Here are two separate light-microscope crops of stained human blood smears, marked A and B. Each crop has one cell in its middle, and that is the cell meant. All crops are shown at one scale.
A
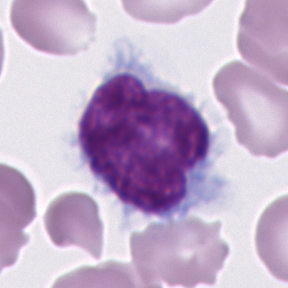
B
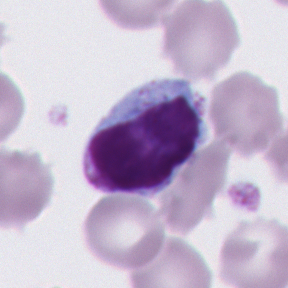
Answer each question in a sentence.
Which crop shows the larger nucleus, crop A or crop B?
Larger is the nucleus in crop A, at roughly 2 times the area of the other.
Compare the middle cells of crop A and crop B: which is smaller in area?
The cell in crop B is smaller; the one in crop A has about 1.5 times its area.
